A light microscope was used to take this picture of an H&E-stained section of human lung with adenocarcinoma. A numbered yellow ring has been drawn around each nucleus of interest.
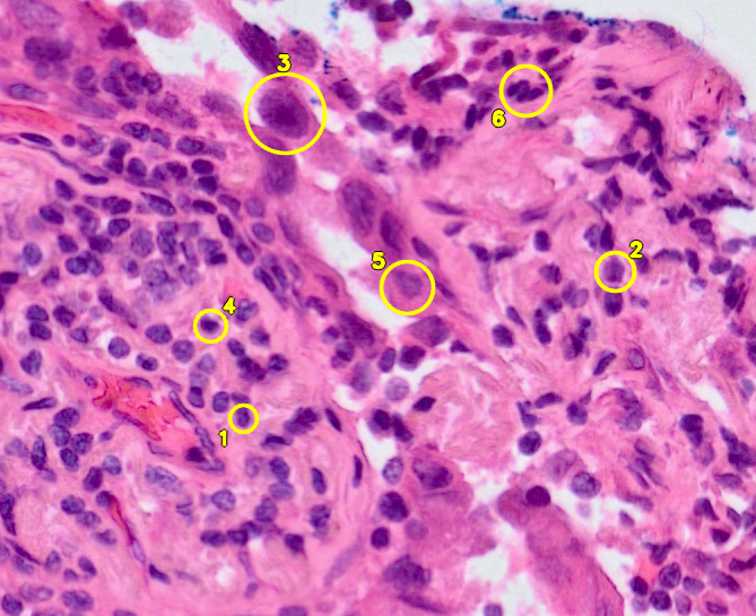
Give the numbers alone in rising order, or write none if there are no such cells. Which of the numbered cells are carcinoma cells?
3, 5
